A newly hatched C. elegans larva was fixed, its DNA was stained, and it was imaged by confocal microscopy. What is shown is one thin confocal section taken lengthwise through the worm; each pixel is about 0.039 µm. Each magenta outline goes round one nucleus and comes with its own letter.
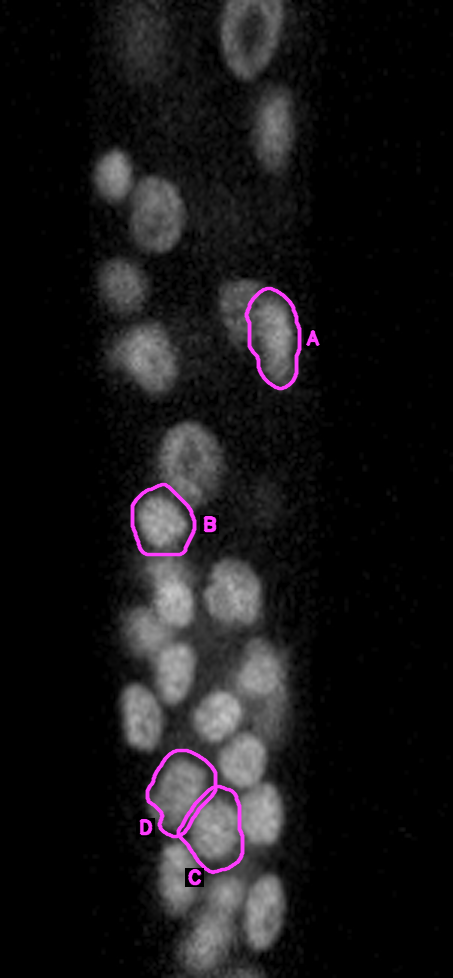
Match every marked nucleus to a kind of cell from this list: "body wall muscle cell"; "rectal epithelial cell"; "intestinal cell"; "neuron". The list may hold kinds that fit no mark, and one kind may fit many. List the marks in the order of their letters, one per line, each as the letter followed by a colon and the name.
A: body wall muscle cell
B: neuron
C: neuron
D: rectal epithelial cell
